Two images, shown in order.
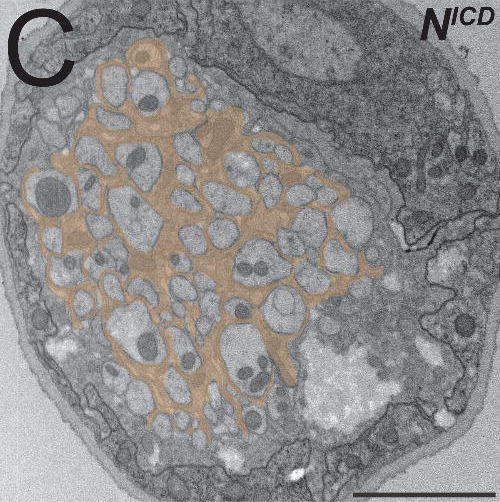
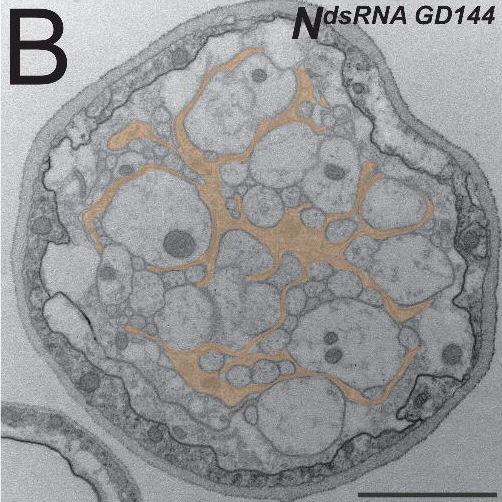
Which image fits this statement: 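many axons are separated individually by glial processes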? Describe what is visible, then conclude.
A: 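Second image: orange strands are thin and several axons lie together in groups without orange between them. First image: orange strands form a dense mesh encircling many single small axons. So: the first image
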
